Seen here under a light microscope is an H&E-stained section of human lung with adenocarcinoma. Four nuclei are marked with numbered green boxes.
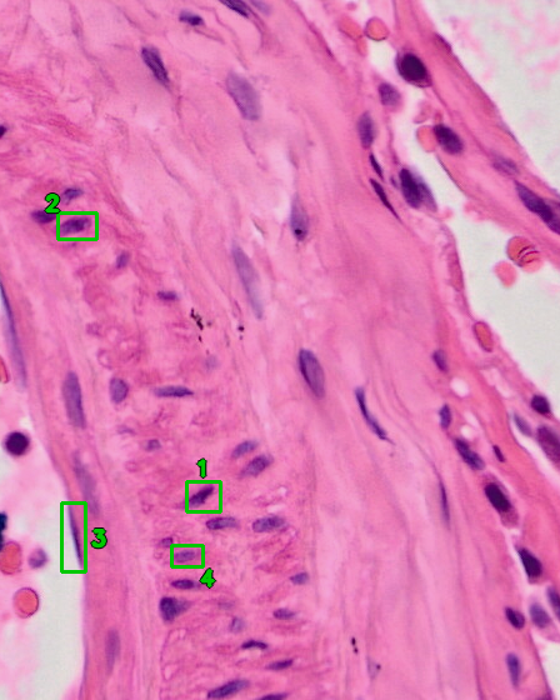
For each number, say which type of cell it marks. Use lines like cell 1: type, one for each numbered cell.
cell 1: smooth muscle cell or pericyte
cell 2: smooth muscle cell or pericyte
cell 3: endothelial cell
cell 4: smooth muscle cell or pericyte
